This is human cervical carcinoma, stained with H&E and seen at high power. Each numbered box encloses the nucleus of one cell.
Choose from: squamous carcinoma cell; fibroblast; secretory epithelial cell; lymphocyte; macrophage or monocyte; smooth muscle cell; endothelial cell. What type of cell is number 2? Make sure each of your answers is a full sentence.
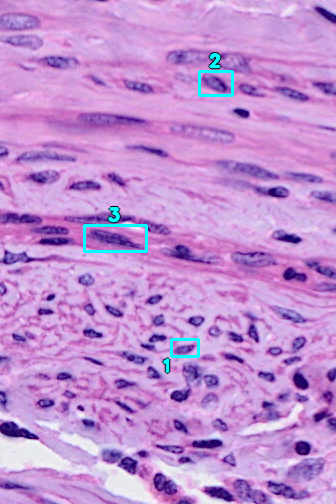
The cell pointed out by number 2 is a smooth muscle cell.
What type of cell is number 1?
Cell number 1 in this section is a smooth muscle cell.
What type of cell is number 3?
The cell pointed out as number 3 is an endothelial cell.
